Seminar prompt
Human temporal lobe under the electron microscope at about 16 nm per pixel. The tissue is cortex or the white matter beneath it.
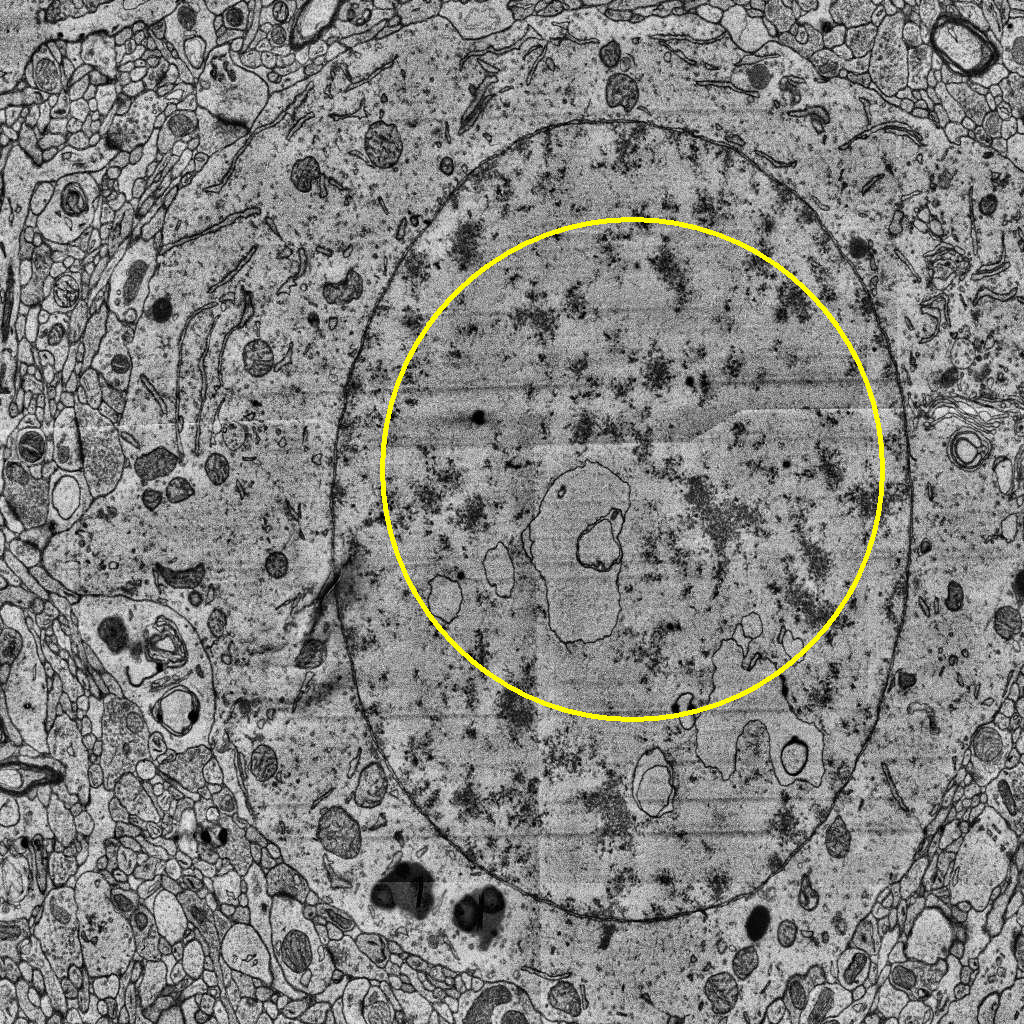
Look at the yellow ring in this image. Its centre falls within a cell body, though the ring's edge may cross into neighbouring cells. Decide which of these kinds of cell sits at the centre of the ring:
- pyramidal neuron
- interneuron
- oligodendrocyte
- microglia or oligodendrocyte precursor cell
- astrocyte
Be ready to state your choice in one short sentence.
The kind of cell at the ring's centre is a pyramidal neuron.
